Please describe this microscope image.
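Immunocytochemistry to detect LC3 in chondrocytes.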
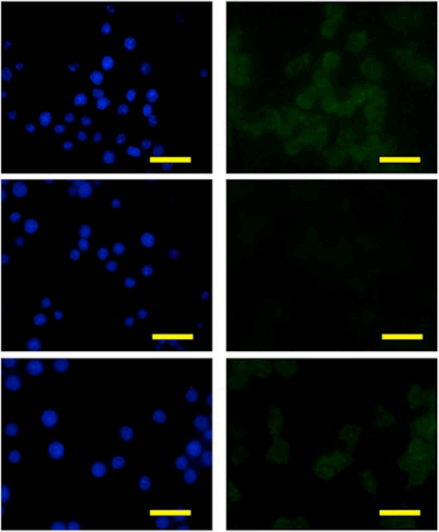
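The left column shows only the nuclei in blue. They are small, round and evenly stained, and they lie scattered singly or in loose clusters with dark space between them. The green is brightest in the top row and faintest in the middle row.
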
